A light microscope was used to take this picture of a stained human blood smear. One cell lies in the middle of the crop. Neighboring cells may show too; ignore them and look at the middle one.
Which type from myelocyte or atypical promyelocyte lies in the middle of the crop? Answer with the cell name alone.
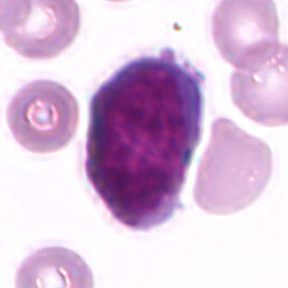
atypical promyelocyte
